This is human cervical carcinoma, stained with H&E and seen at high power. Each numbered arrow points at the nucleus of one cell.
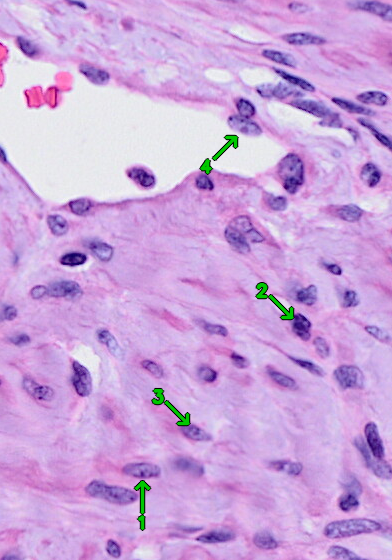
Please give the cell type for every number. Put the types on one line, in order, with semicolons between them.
smooth muscle cell; lymphocyte; smooth muscle cell; endothelial cell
